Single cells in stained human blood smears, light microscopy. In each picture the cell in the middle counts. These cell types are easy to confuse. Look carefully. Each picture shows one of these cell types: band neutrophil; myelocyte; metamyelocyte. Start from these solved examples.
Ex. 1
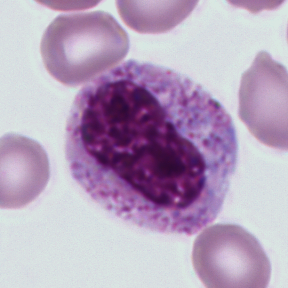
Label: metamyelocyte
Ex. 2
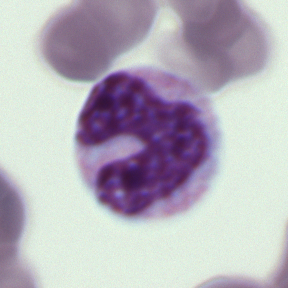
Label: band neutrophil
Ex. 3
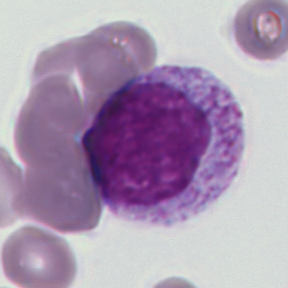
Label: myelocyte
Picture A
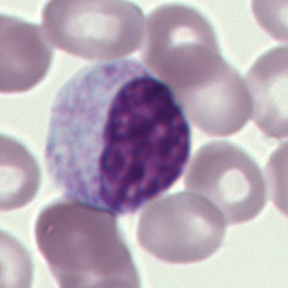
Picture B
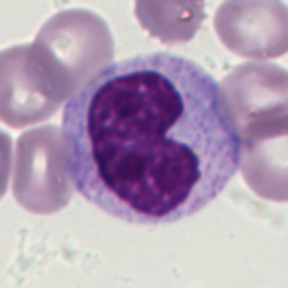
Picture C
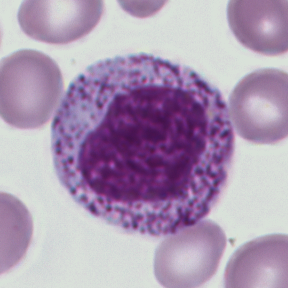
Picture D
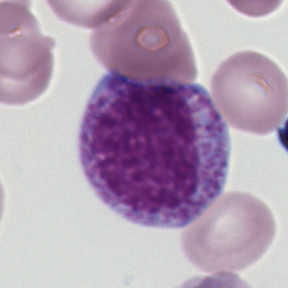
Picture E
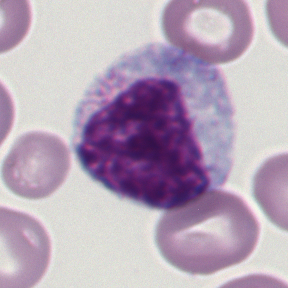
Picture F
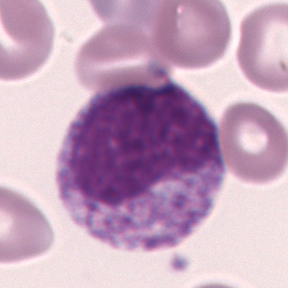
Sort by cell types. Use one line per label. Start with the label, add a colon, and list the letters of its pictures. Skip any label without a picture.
myelocyte: C, D, E, F
metamyelocyte: A, B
